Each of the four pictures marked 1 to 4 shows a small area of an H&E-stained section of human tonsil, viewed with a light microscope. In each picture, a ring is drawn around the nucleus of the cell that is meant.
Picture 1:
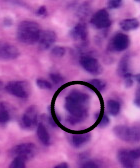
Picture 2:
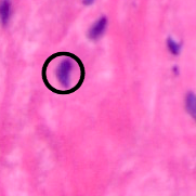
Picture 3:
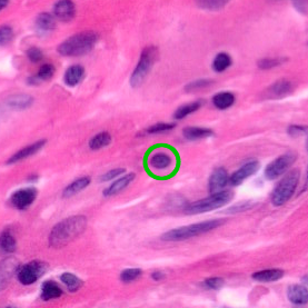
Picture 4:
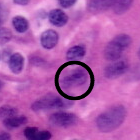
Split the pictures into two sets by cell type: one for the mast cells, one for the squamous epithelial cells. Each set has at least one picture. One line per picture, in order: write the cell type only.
squamous epithelial cell
mast cell
mast cell
squamous epithelial cell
